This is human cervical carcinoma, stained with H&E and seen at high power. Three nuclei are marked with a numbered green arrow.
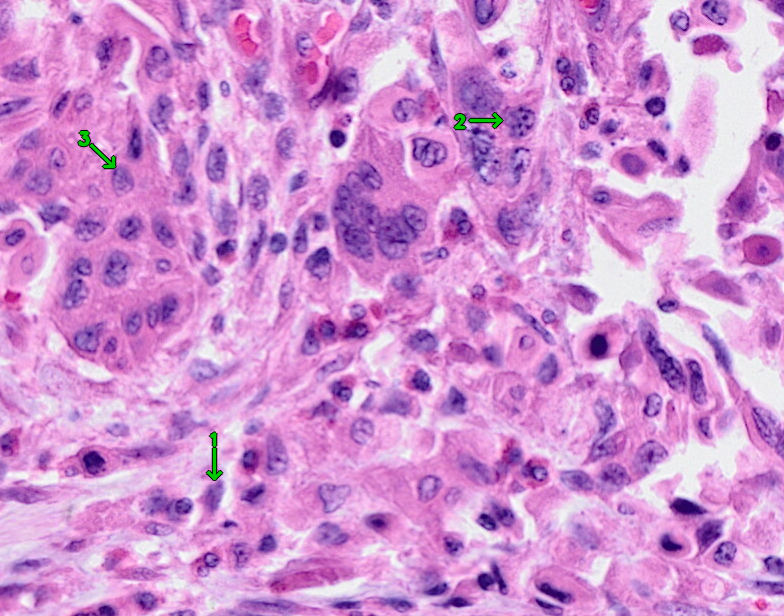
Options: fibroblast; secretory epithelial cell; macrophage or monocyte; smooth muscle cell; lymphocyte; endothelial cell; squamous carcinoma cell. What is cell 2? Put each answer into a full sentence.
The cell indicated by marker 2 is a squamous carcinoma cell in this section.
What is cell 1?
Number 1 among the marked cells is a macrophage or monocyte.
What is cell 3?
The cell identified by the number 3 is a squamous carcinoma cell.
